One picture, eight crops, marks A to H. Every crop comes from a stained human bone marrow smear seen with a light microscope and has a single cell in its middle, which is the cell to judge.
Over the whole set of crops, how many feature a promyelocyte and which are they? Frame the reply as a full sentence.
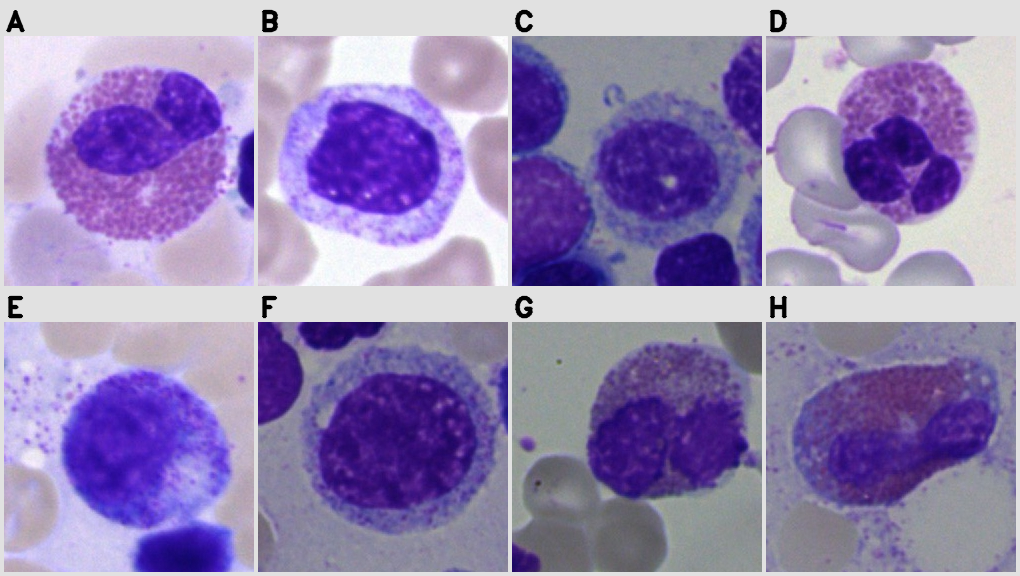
Taken together, crops E and F make up the two that show promyelocytes.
